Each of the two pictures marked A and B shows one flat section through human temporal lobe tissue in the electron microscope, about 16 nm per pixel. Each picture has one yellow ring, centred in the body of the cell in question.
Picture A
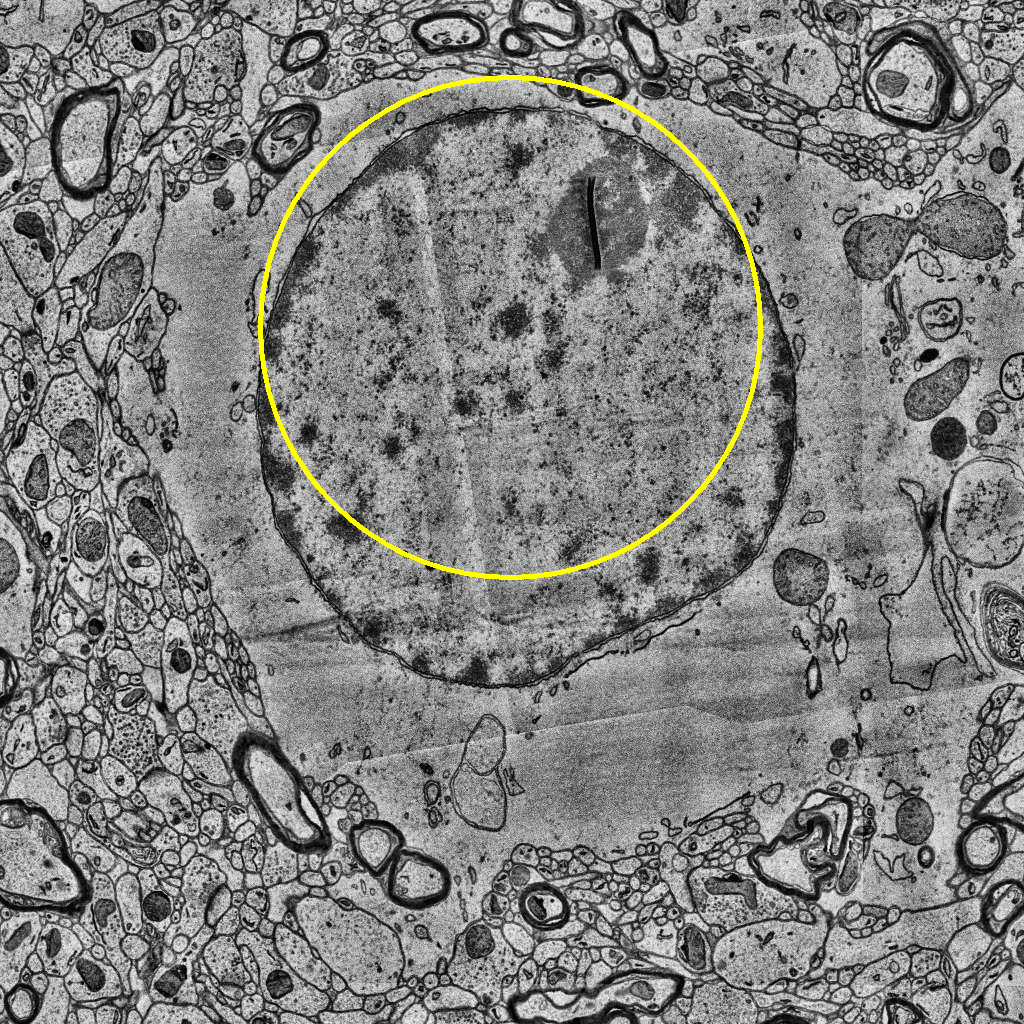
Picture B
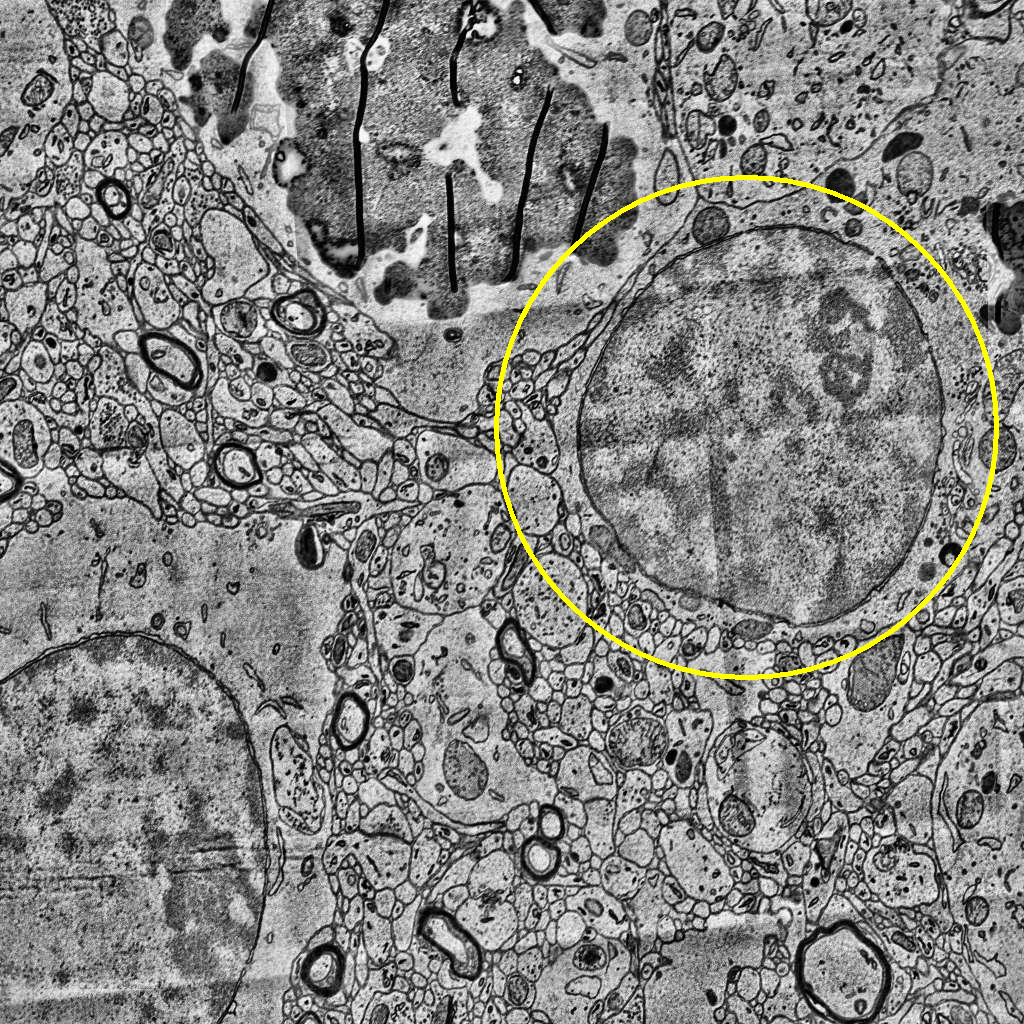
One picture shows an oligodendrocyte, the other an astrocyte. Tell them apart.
The cell in picture A is an astrocyte, and the one in picture B is an oligodendrocyte.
